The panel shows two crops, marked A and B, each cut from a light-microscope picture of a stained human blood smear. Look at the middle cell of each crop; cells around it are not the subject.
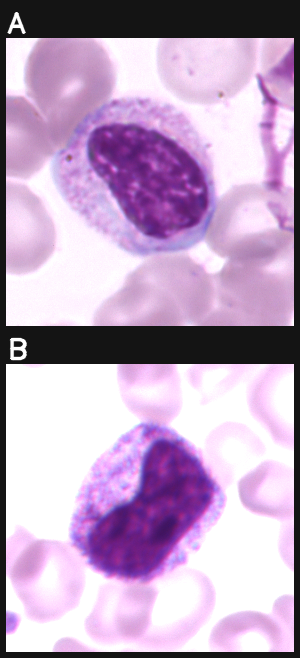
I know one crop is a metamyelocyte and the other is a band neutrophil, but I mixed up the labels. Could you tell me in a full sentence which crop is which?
The cell centred in crop A is a metamyelocyte, and the one centred in crop B is a band neutrophil.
